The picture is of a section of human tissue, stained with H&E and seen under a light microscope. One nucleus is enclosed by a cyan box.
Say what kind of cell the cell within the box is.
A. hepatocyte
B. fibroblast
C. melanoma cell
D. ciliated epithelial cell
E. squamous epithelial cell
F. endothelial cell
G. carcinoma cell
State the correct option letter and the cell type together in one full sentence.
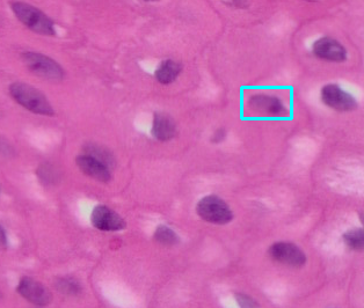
Under option E, the cell within the box is listed as a squamous epithelial cell, which is correct.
